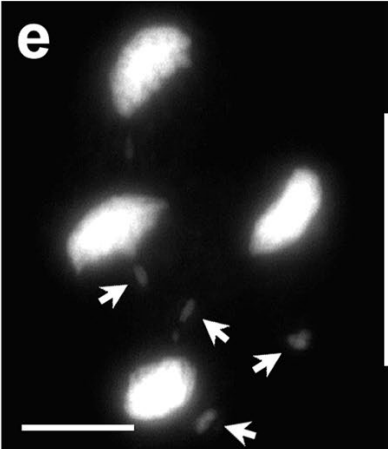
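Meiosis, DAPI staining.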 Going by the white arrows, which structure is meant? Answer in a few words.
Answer: Laggards.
